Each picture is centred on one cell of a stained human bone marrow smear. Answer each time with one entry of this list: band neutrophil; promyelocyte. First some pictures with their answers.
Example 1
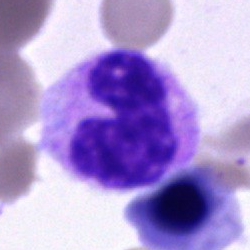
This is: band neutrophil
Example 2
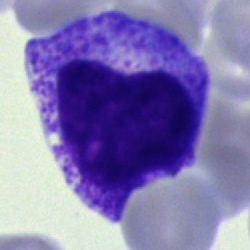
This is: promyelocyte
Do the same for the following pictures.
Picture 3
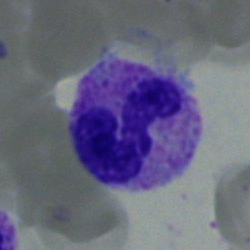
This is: band neutrophil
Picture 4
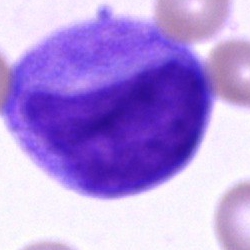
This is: promyelocyte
